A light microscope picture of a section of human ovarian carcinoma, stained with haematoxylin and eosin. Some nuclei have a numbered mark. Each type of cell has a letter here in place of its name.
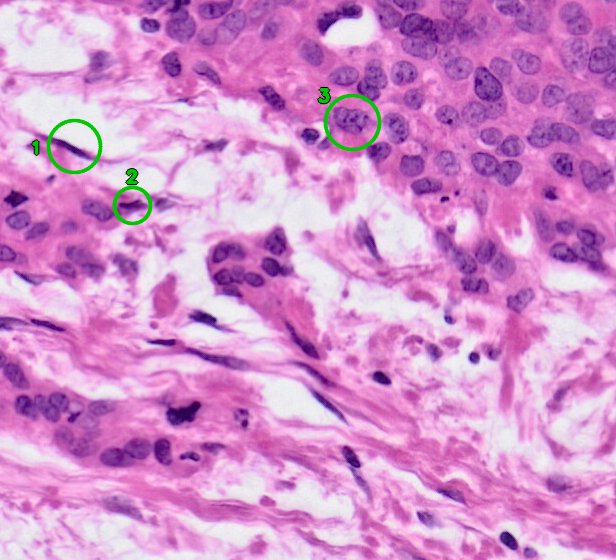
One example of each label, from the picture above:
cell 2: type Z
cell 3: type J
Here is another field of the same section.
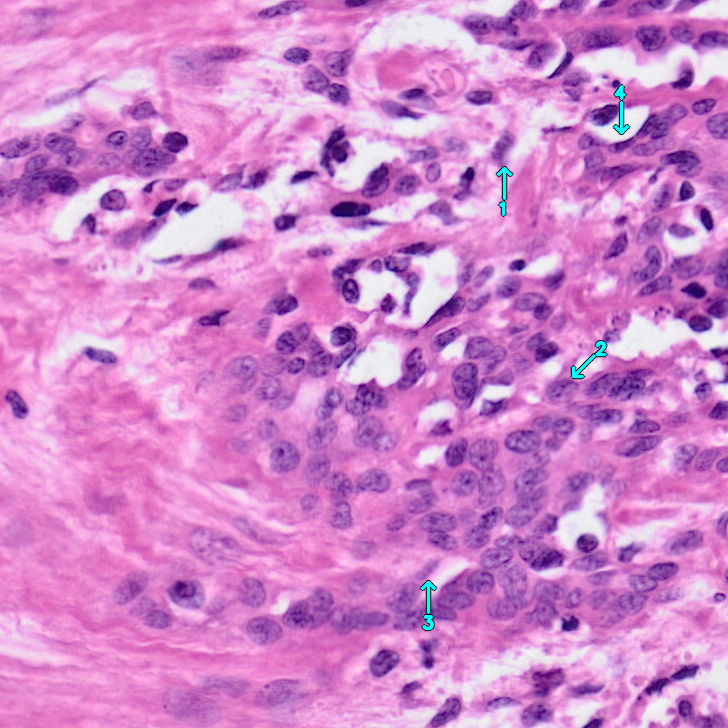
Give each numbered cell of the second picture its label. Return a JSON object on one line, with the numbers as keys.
{"1": "type Z", "2": "type J", "3": "type J", "4": "type J"}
